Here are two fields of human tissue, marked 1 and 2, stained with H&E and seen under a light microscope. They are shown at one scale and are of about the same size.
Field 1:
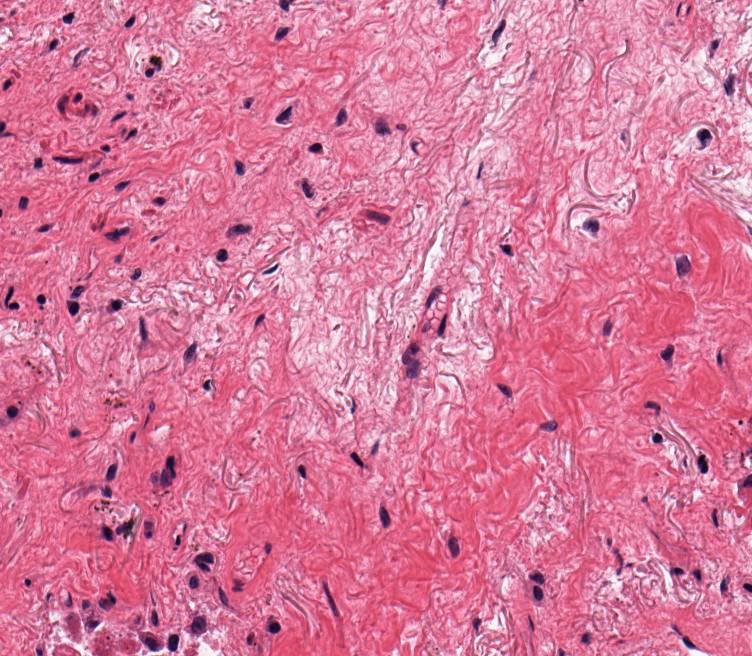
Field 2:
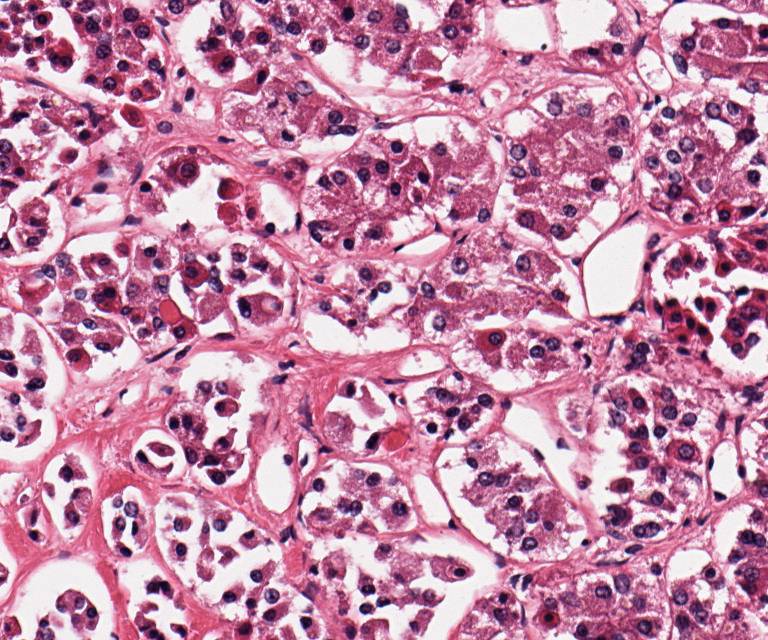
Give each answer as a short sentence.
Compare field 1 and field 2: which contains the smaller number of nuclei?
There are fewer nuclei in field 1.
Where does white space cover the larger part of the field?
It is field 2 in which white space covers the larger part.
